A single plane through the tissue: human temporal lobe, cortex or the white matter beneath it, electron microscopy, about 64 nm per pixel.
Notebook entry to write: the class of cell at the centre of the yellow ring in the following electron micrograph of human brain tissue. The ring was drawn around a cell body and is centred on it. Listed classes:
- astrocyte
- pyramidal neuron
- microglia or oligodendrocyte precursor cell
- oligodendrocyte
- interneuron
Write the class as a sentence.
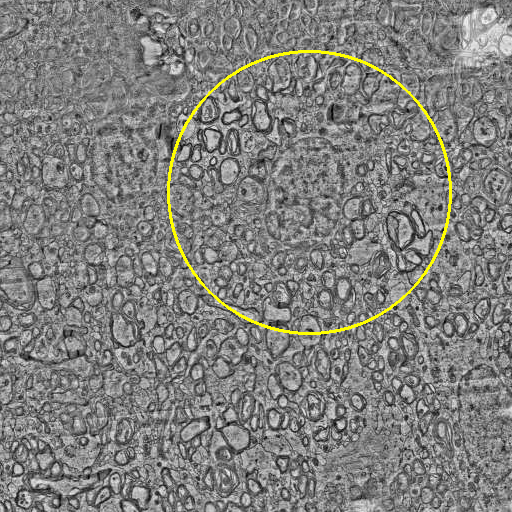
The yellow ring sits on an oligodendrocyte.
